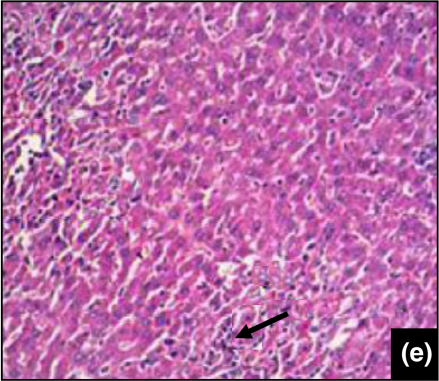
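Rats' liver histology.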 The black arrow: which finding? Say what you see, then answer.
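The arrow points to a small cluster of small, dark, round nuclei between the hepatocyte cords. The answer: infiltration of inflammatory cells.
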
